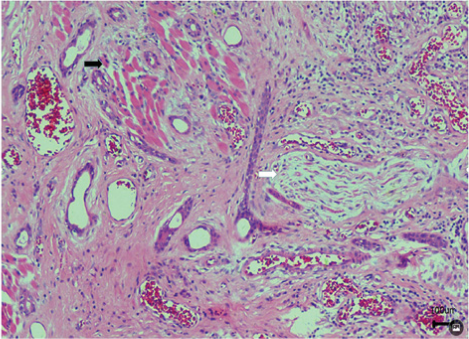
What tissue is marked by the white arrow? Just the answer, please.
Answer: nerve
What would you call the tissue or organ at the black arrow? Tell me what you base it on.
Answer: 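The arrow points to a bundle of elongated, deeply pink fibers. The fibers are much larger and more eosinophilic than the surrounding stroma.
Conclusion: muscle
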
